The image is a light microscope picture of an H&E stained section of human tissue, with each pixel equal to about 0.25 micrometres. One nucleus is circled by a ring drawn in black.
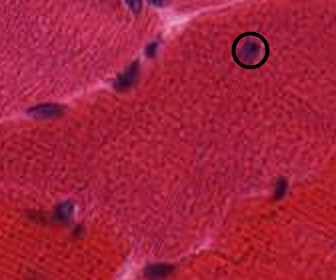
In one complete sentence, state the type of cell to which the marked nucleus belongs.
Here the marked nucleus belongs to a skeletal muscle fibre.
